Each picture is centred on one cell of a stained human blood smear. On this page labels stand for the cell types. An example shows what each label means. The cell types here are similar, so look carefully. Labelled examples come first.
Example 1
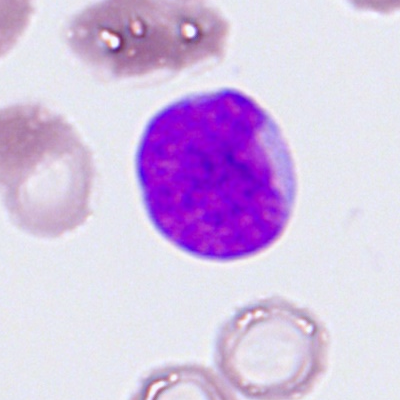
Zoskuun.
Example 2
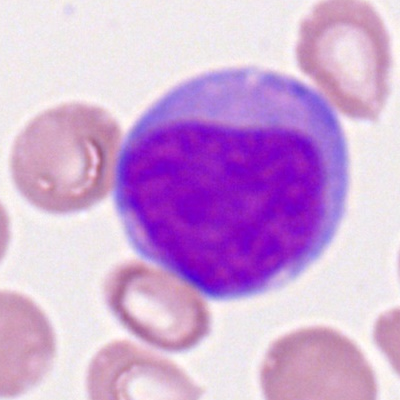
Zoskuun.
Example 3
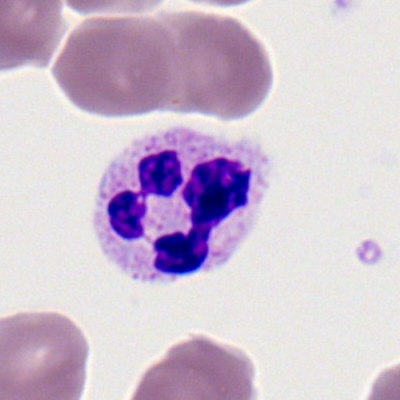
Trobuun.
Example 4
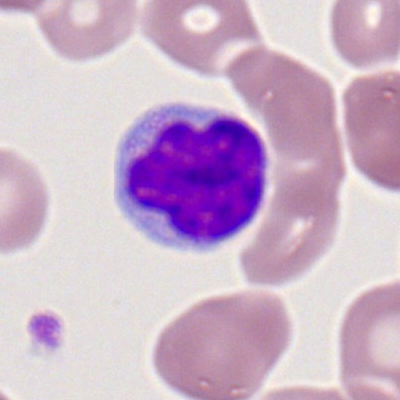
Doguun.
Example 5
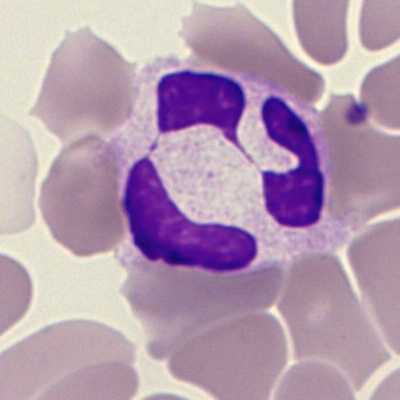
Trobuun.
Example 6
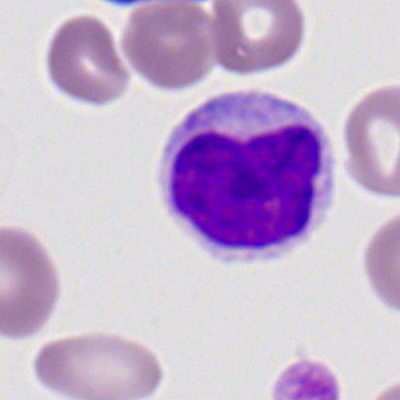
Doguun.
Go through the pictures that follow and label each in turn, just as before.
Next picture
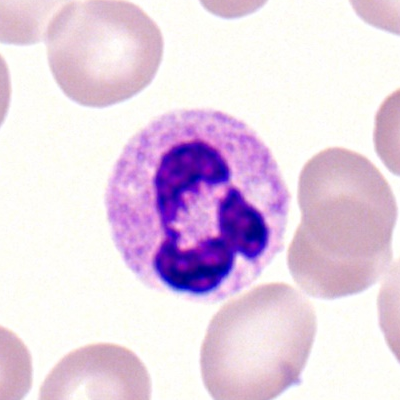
Trobuun.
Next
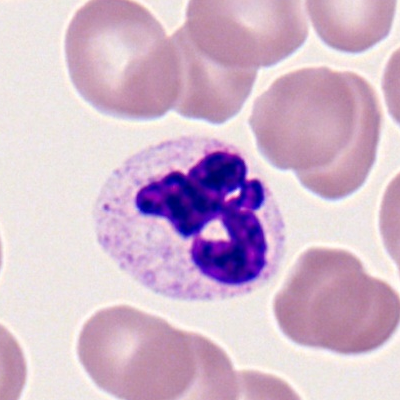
Trobuun.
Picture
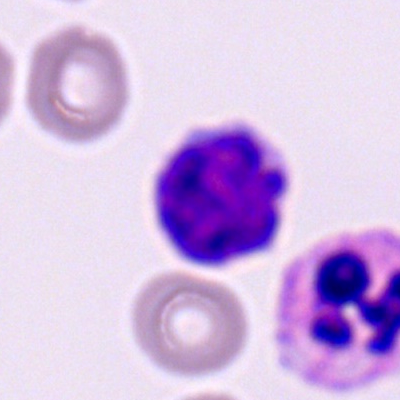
Doguun.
